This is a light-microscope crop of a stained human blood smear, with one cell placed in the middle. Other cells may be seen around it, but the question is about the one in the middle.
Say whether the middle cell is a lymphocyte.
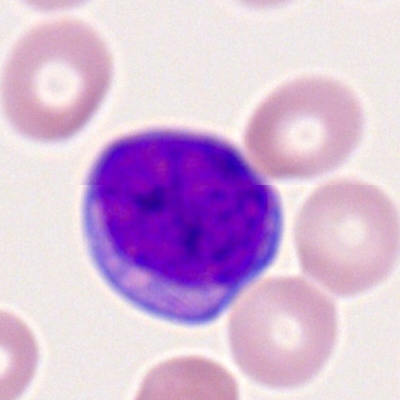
no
